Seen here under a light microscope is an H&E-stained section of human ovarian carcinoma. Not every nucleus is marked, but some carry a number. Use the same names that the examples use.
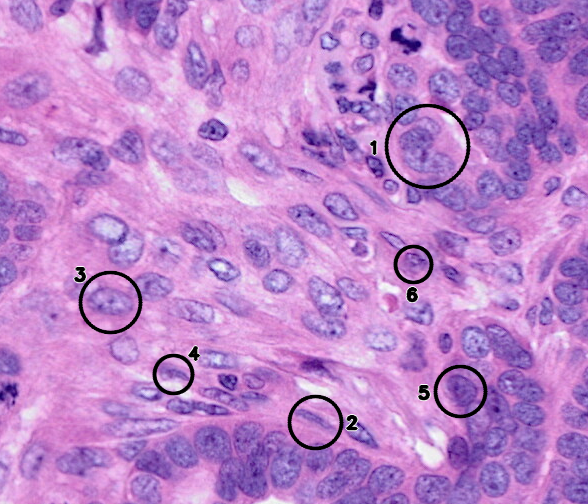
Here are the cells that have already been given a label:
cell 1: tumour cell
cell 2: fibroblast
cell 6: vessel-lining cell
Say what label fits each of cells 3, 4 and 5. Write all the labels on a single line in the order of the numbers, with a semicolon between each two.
fibroblast; fibroblast; tumour cell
